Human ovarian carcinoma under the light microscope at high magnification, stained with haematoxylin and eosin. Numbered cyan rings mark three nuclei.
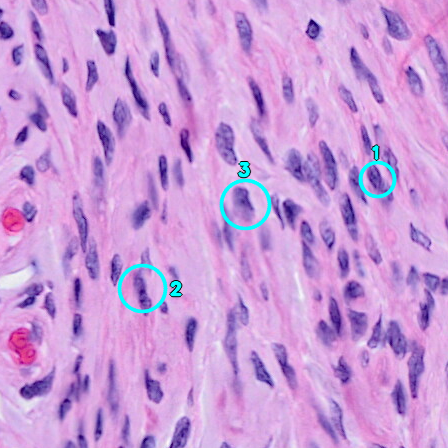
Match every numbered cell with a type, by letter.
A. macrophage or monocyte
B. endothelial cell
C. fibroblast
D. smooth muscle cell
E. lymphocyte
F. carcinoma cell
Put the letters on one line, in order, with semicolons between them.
D; D; C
